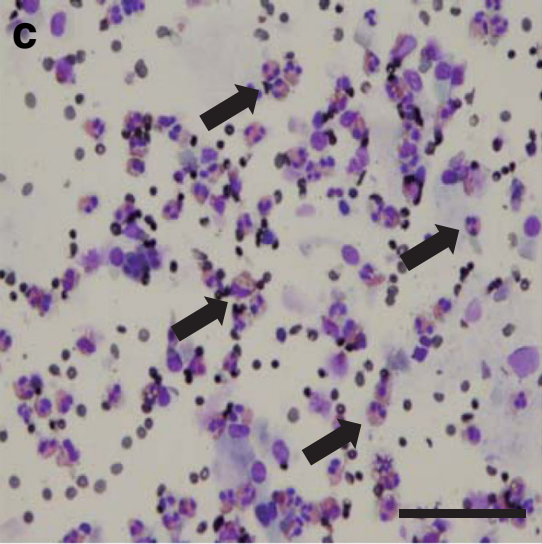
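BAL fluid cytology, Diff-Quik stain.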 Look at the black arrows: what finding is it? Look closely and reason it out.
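Eosinophilic infiltration. The arrowed cells have dark, lobed nuclei. Their cytoplasm is filled with pink-red granules. Many such granular cells are scattered across the field.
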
